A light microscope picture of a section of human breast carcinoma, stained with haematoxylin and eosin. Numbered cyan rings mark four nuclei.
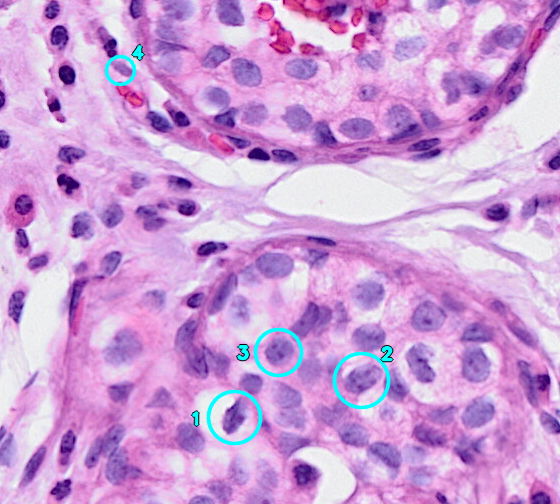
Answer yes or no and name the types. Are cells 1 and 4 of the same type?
No, cell 1 is a carcinoma cell and cell 4 is an endothelial cell.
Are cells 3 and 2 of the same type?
Yes, both are carcinoma cells.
